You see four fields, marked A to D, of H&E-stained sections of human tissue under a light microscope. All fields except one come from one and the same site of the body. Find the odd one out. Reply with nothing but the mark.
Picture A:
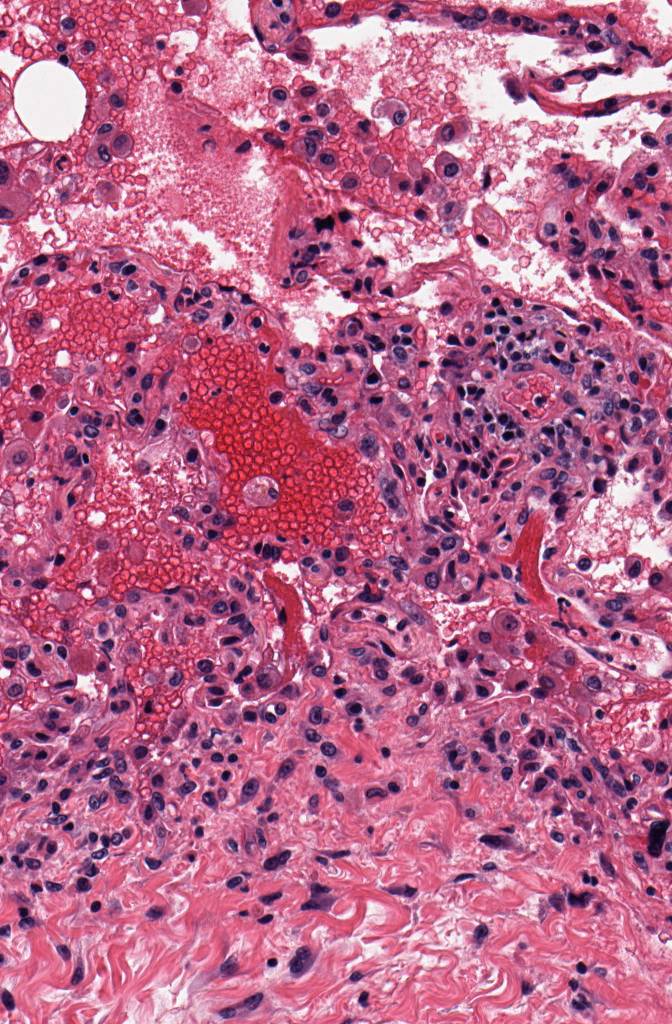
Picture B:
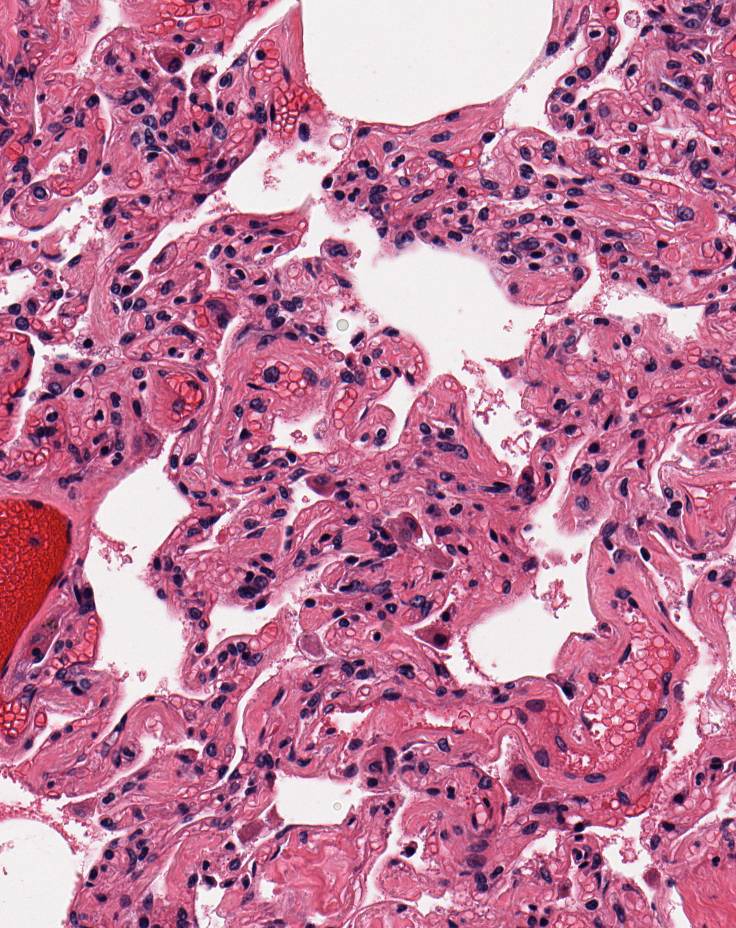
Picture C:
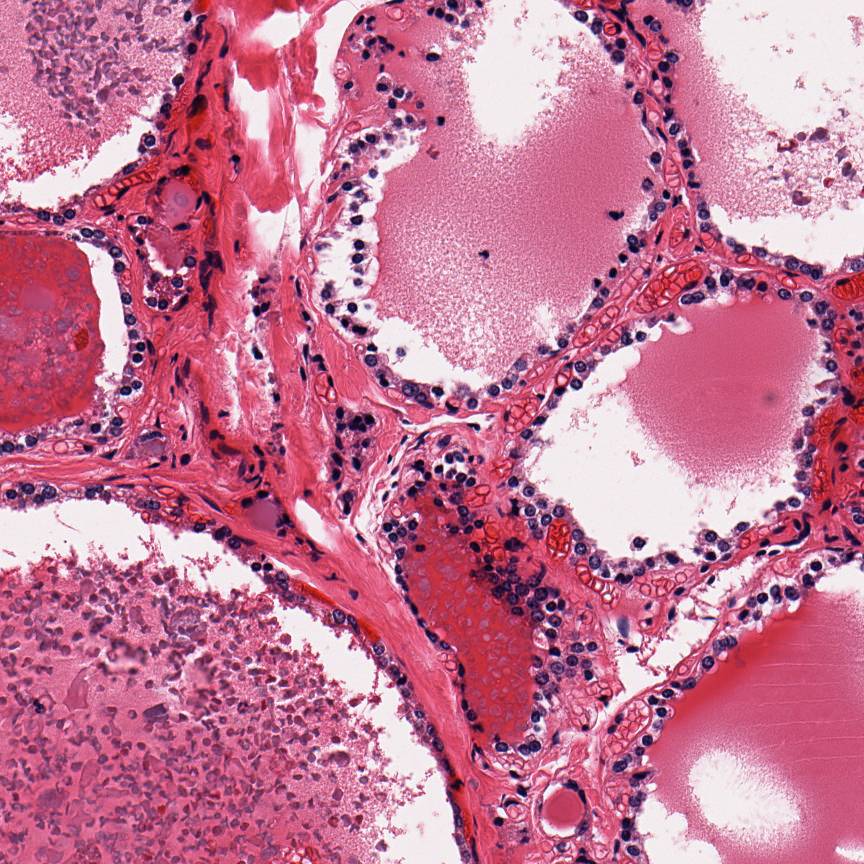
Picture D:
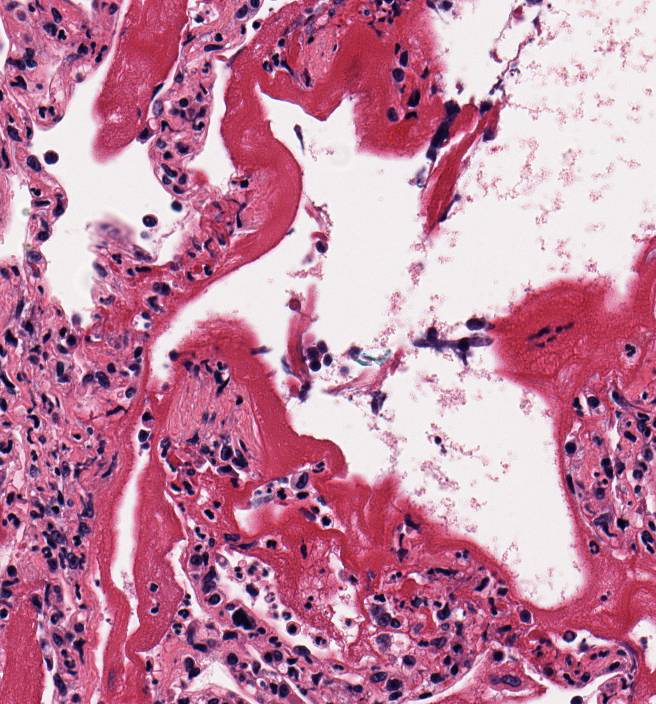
C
